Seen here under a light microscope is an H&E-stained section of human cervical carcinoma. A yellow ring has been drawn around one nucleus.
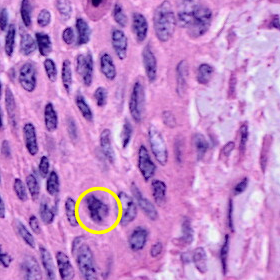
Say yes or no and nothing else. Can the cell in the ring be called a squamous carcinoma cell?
yes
